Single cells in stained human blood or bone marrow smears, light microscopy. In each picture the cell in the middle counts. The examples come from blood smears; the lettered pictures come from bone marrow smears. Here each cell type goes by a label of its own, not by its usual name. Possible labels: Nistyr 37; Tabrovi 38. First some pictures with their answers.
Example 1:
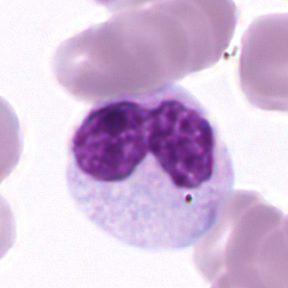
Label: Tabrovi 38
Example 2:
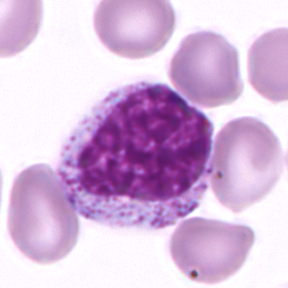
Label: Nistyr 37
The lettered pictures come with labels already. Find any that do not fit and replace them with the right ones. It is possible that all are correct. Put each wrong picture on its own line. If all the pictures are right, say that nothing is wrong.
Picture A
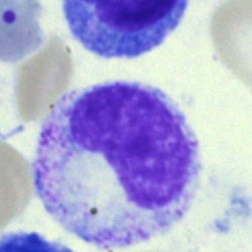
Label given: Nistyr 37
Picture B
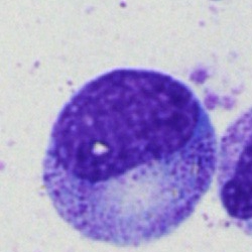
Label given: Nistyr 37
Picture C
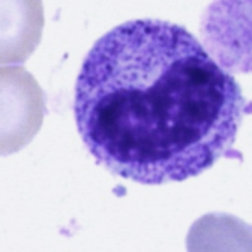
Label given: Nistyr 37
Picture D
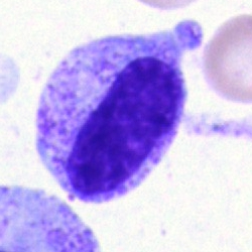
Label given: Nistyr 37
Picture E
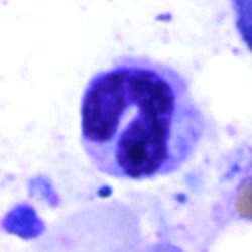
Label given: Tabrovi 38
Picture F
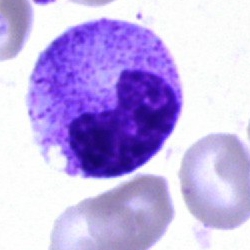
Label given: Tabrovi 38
None of the labels needs changing.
